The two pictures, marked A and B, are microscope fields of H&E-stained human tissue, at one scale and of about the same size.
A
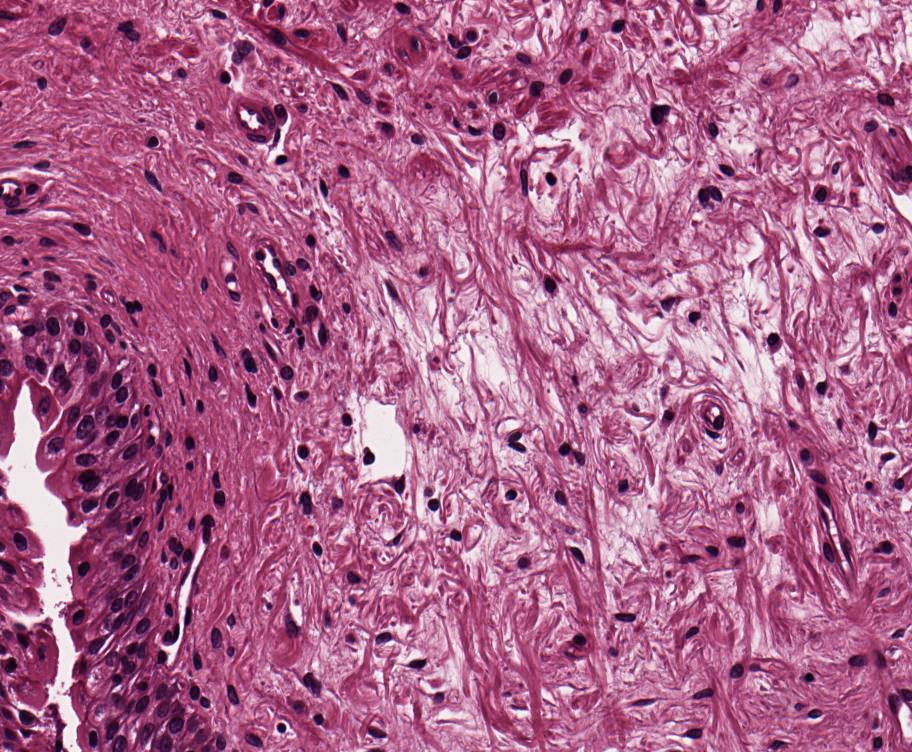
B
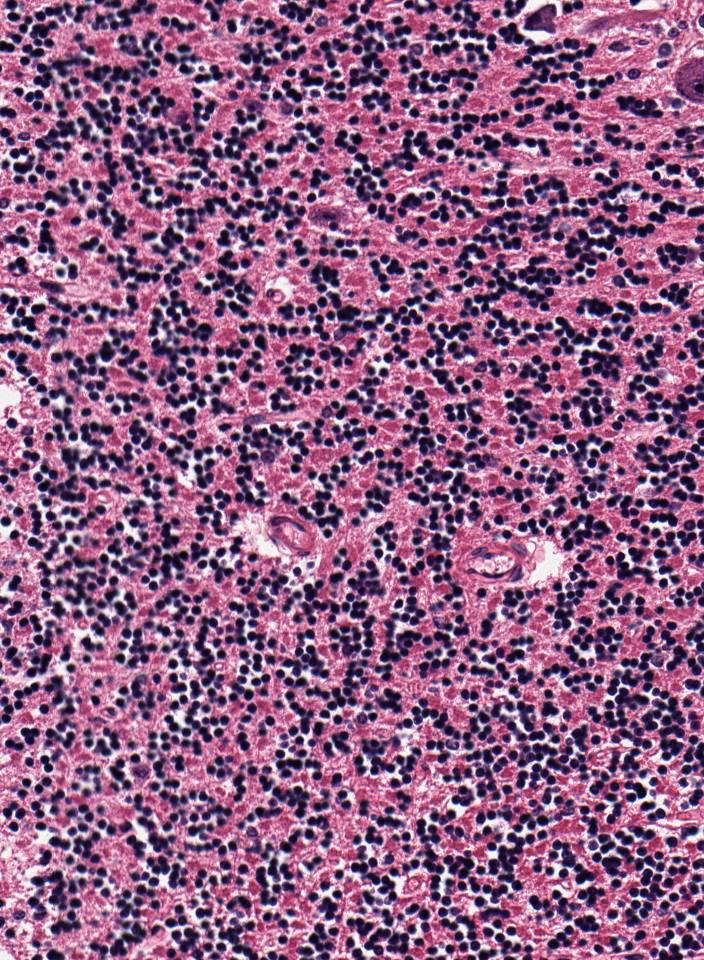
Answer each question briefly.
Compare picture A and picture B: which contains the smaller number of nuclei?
A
